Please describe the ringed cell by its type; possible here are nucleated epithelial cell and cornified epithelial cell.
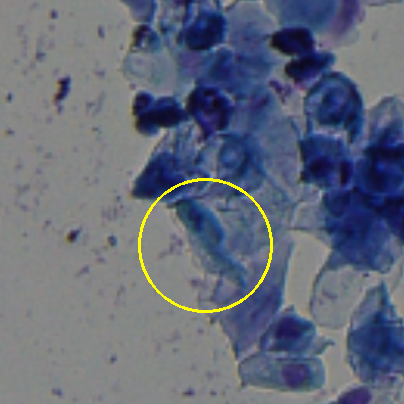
The yellow ring marks a cornified epithelial cell.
